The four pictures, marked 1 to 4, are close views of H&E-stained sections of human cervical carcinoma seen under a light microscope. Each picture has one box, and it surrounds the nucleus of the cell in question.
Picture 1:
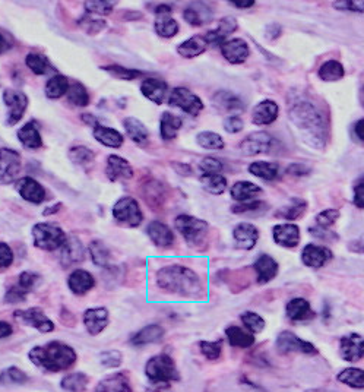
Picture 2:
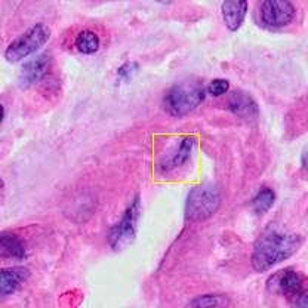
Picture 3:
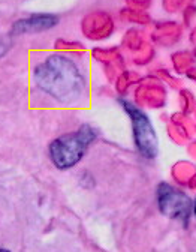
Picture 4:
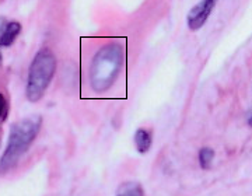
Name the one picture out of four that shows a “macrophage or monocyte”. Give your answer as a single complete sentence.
The “macrophage or monocyte” is the one in picture 1.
